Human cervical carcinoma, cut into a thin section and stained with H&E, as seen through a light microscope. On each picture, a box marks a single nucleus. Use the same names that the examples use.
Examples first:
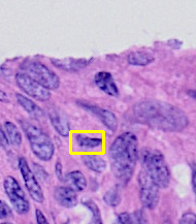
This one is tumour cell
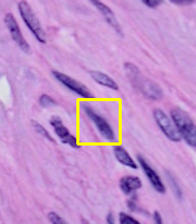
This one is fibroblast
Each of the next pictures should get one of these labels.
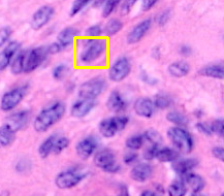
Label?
tumour cell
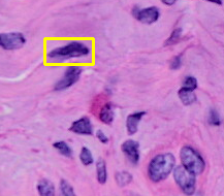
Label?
fibroblast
